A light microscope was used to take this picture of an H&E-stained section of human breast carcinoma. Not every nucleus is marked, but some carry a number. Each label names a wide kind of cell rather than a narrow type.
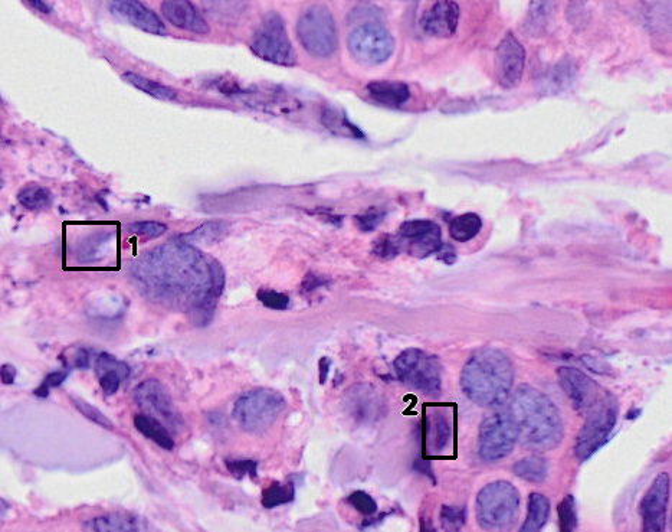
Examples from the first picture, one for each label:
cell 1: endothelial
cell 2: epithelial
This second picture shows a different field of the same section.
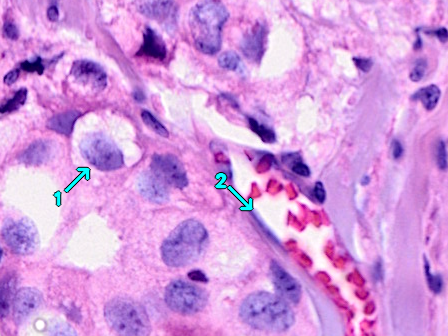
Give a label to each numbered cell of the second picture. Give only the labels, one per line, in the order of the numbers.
epithelial
endothelial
